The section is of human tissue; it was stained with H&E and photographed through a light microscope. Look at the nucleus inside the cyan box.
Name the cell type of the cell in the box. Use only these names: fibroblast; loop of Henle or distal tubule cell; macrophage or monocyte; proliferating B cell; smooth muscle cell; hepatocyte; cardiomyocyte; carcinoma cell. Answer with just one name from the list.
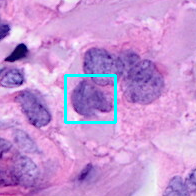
carcinoma cell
